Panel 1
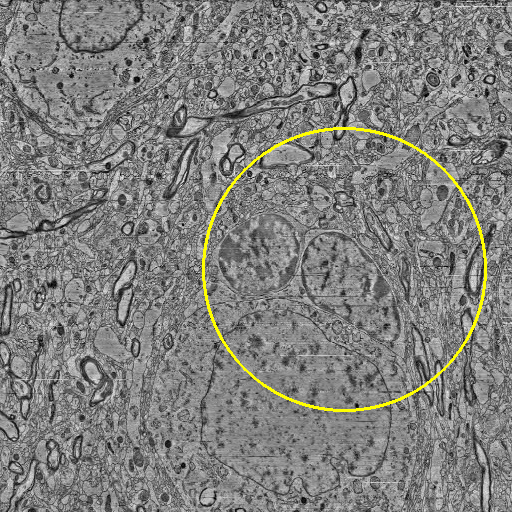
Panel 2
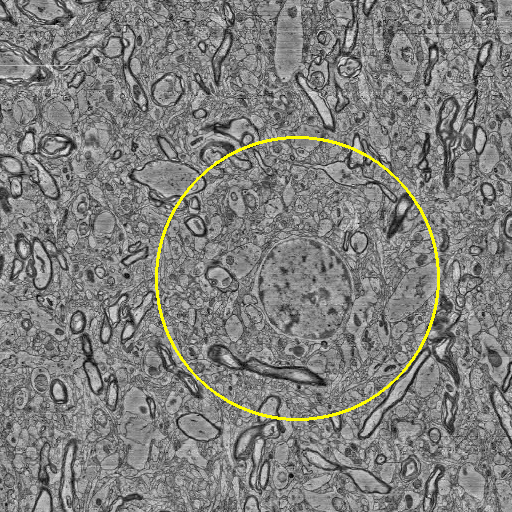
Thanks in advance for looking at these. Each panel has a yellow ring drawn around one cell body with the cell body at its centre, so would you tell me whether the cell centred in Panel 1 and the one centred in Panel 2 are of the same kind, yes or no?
yes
